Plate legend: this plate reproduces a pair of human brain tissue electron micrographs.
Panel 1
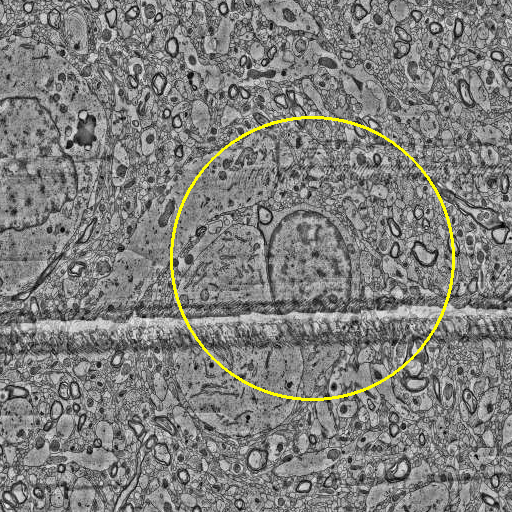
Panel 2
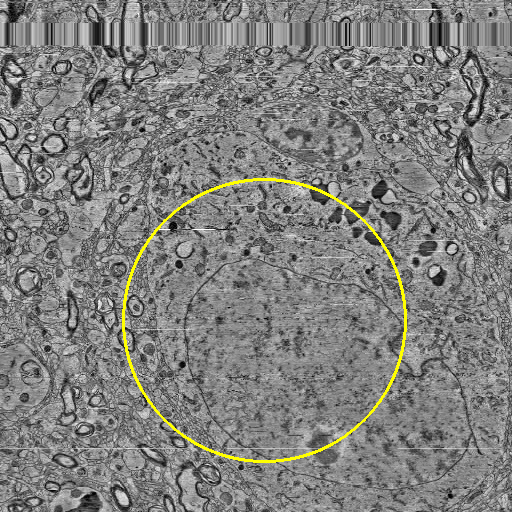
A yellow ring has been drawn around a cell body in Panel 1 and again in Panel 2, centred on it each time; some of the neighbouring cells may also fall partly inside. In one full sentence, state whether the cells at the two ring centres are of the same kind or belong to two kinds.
The ring-centred cells of Panel 1 and Panel 2 belong to two kinds.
